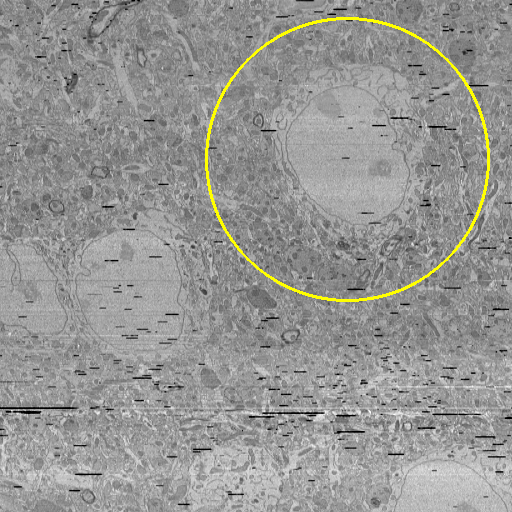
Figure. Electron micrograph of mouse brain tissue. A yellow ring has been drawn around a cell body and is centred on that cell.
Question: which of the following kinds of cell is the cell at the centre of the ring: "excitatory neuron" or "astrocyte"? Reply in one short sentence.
The cell at the centre of the ring is an excitatory neuron.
